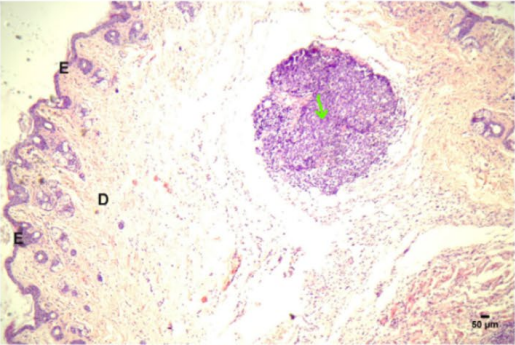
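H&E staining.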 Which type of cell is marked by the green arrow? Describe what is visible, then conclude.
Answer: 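Tumor cell. A round, well-delimited nodule of densely packed purple cells sits within the dermis. Surrounding dermis is pale pink connective tissue.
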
